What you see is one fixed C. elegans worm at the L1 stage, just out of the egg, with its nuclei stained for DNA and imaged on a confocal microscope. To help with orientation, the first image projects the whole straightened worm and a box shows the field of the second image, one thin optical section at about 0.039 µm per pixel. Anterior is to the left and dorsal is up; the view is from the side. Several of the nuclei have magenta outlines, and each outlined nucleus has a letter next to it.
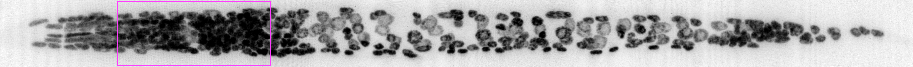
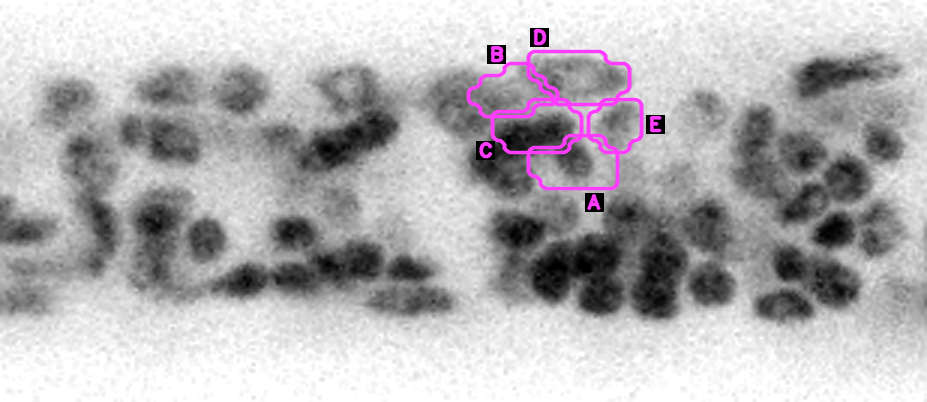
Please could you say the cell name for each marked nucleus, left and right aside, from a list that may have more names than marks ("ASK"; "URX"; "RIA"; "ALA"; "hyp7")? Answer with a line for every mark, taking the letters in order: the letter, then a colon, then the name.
A: RIA
B: ALA
C: URX
D: hyp7
E: ASK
